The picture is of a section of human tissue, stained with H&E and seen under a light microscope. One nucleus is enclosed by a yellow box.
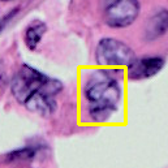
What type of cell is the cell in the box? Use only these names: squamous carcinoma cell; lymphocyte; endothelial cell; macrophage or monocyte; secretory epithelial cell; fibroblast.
squamous carcinoma cell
